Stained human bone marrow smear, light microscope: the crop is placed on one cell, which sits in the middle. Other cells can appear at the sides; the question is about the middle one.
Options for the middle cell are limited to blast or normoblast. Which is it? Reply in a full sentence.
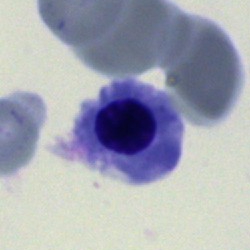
As for the cell in the middle, it is a normoblast.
